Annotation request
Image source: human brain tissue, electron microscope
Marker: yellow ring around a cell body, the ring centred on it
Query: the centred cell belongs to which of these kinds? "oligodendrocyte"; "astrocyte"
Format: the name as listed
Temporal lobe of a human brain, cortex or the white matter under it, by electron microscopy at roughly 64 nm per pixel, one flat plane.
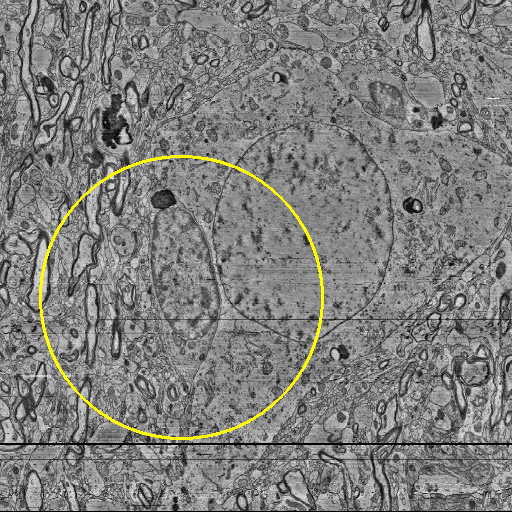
oligodendrocyte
